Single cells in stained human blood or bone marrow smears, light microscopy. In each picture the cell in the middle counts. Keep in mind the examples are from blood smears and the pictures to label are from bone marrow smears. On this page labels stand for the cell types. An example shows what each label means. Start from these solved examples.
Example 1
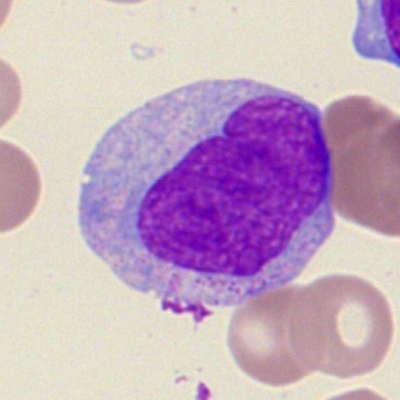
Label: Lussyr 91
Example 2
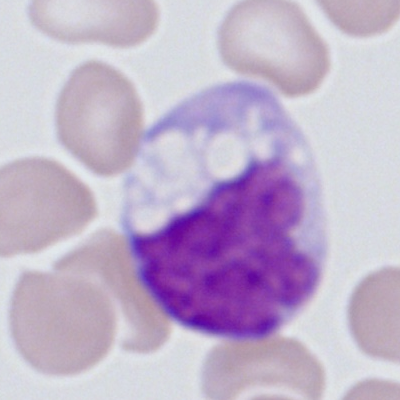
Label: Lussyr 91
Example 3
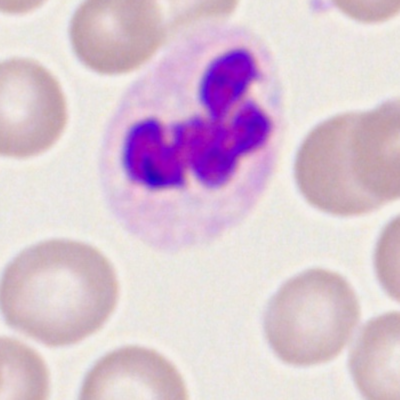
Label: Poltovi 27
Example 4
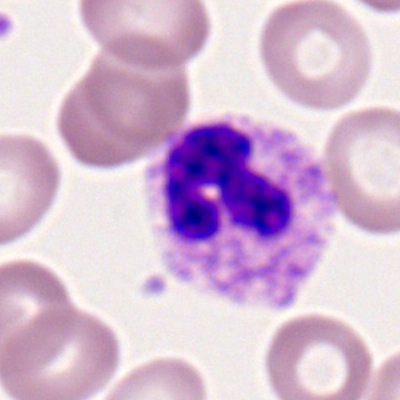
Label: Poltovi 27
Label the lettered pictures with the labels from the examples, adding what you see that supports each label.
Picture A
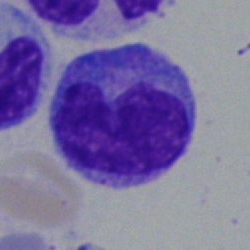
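Lussyr 91. The nucleus fills most of the cell.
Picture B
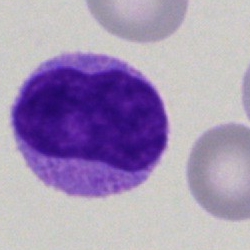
Lussyr 91. The nucleus fills most of the cell and sits toward its upper side.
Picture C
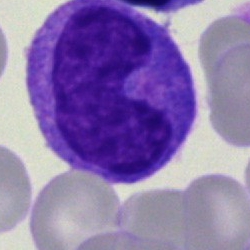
Lussyr 91. The nucleus fills most of the cell.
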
